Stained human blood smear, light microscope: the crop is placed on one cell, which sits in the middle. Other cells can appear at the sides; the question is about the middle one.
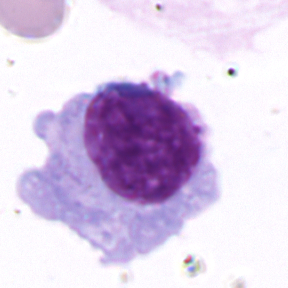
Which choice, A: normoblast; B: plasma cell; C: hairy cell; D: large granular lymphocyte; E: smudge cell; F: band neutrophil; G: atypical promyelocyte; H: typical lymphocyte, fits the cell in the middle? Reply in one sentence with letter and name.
Located in the middle of the crop is a plasma cell, and option B is therefore correct.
